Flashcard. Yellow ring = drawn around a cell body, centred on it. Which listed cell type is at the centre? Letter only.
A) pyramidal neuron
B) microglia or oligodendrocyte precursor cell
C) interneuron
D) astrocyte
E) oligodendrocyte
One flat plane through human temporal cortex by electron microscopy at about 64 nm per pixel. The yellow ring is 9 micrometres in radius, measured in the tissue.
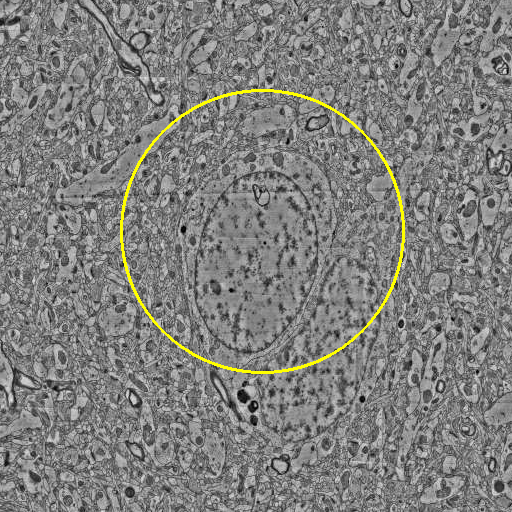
A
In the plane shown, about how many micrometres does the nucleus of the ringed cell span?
In this plane the nucleus is clearly longer than it is wide: roughly 12 by 7 micrometres.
